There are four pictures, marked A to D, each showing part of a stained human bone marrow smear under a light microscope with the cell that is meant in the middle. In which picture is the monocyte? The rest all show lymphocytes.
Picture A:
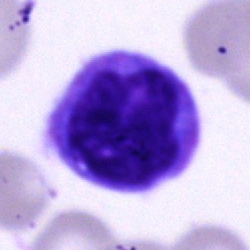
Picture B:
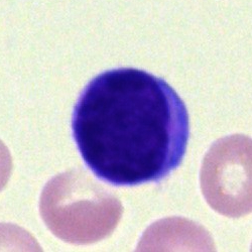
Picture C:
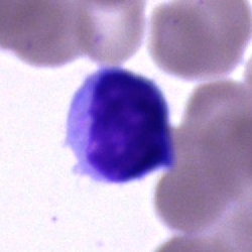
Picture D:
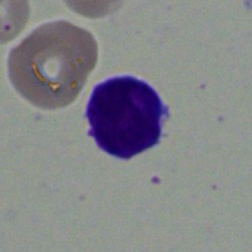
A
